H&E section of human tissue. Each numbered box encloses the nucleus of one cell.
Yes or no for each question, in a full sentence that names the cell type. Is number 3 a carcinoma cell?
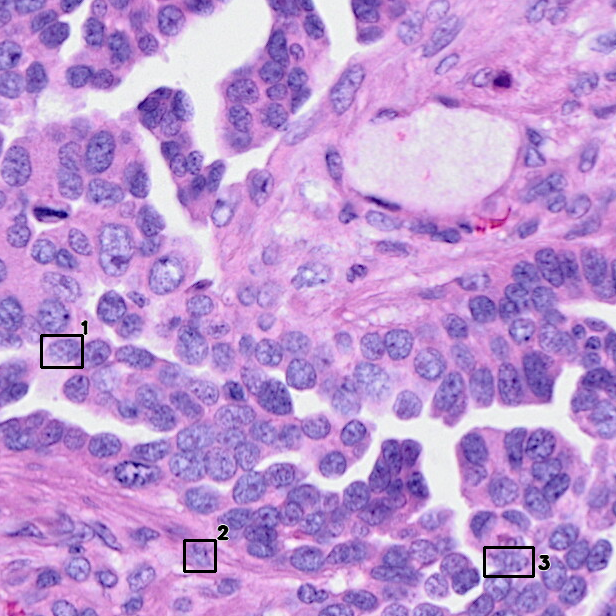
Yes, the cell to which number 3 refers is a carcinoma cell.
